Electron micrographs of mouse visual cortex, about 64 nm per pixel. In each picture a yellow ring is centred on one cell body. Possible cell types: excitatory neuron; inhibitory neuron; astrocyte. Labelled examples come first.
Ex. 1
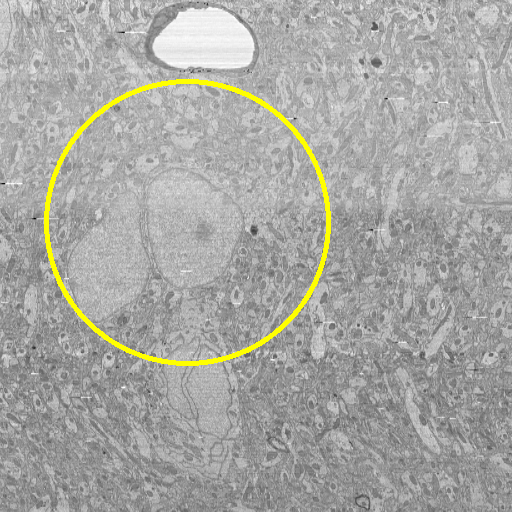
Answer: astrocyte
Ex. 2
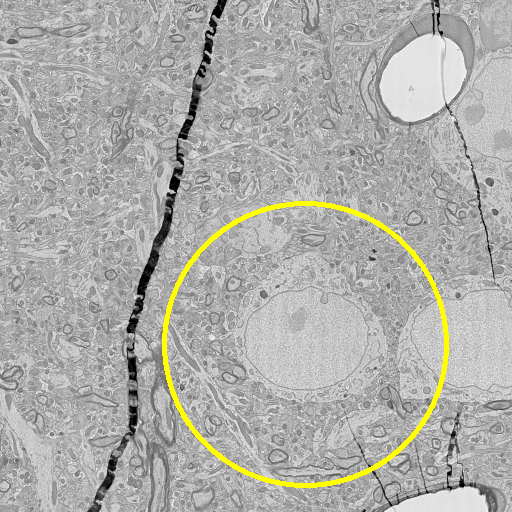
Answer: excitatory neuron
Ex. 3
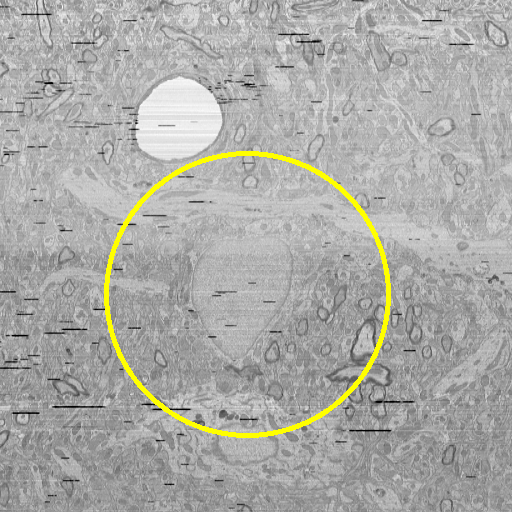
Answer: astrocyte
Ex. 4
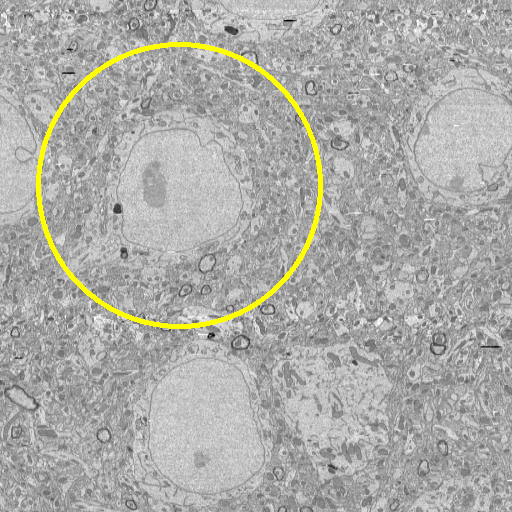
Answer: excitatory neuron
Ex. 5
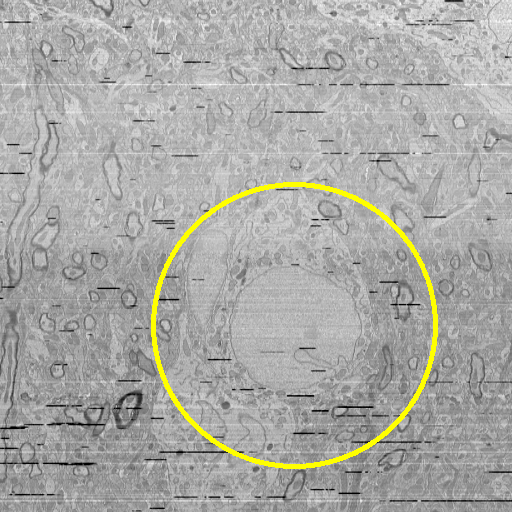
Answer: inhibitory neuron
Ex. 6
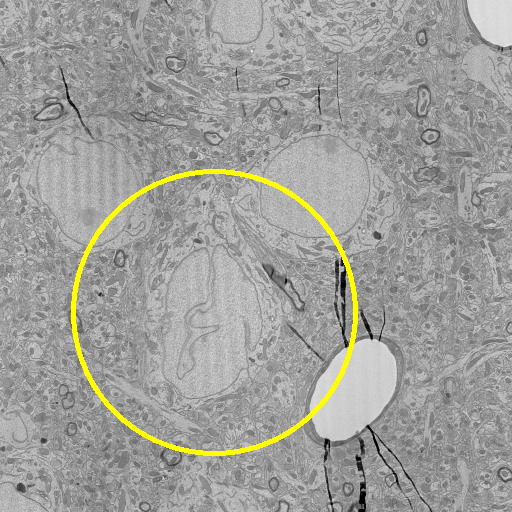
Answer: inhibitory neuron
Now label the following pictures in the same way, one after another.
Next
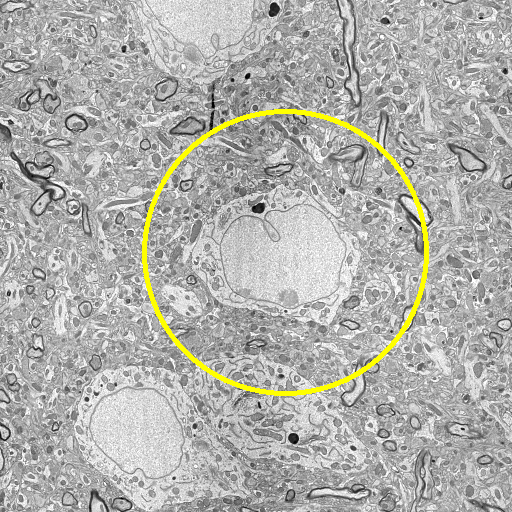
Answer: excitatory neuron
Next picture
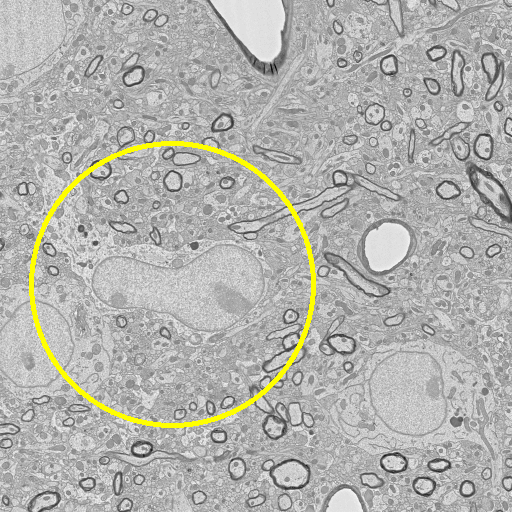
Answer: astrocyte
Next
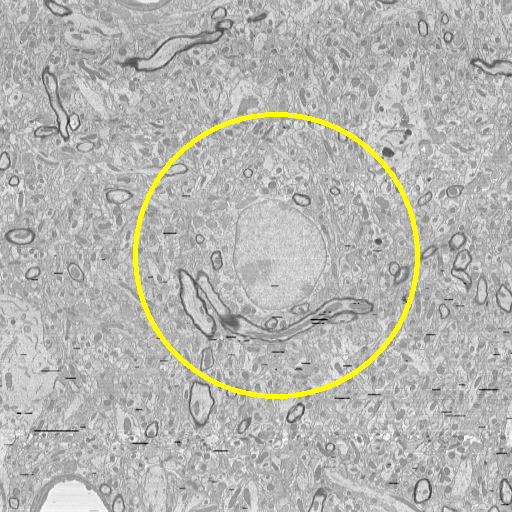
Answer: astrocyte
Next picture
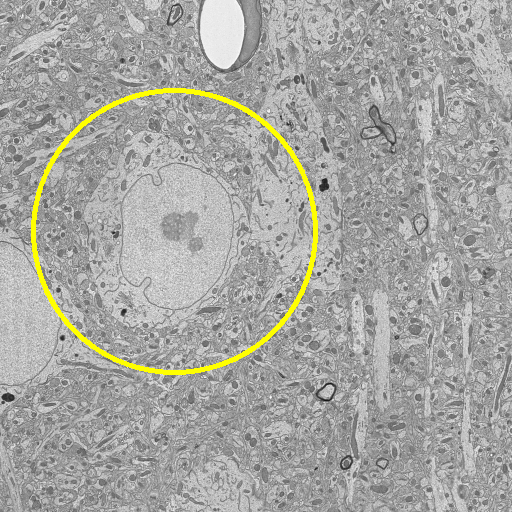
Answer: excitatory neuron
